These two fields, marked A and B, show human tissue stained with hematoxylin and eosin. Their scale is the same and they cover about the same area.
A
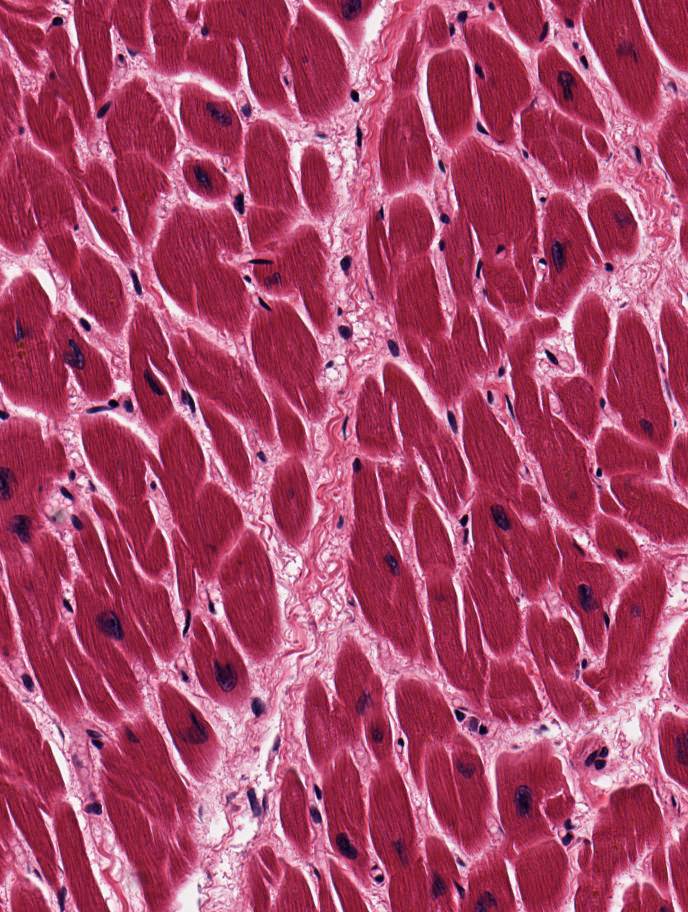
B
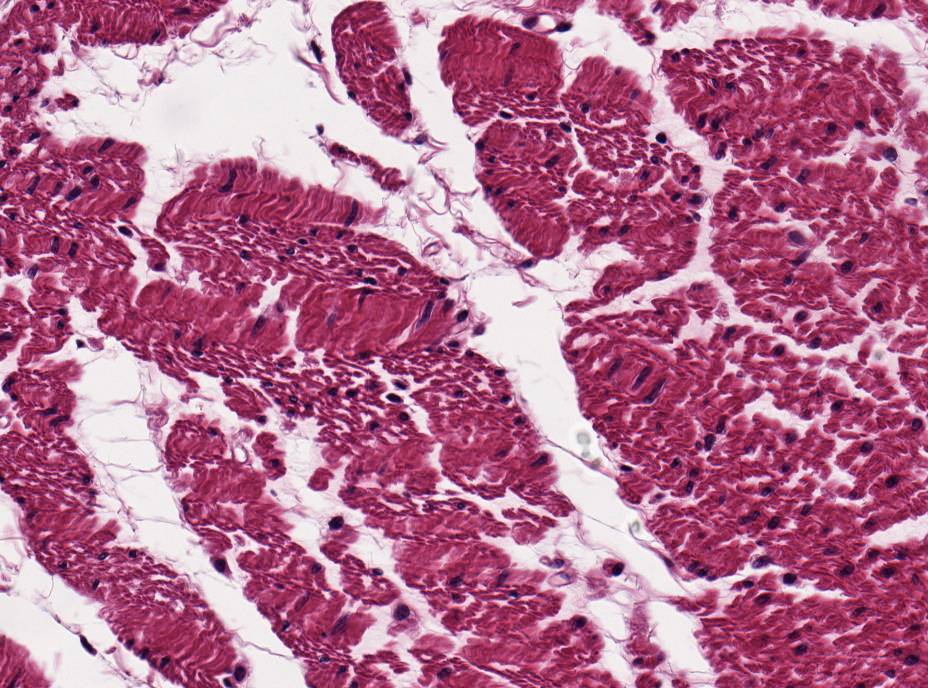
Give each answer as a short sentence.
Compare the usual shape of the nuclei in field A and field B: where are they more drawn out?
It is field A whose nuclei are the more elongated.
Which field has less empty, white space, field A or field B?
Unstained space takes up less of field A than of field B.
